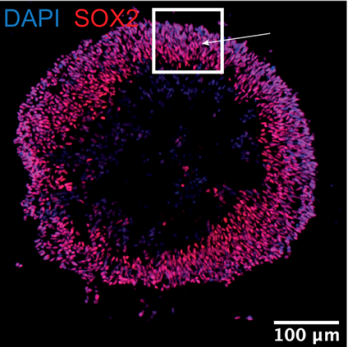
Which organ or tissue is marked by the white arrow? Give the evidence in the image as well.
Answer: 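The arrow points into the thick outer band of a round structure. The band consists of densely packed elongated nuclei stacked several deep and oriented radially. The centre of the structure is sparsely populated.
Answer: neuroepithelial layer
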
